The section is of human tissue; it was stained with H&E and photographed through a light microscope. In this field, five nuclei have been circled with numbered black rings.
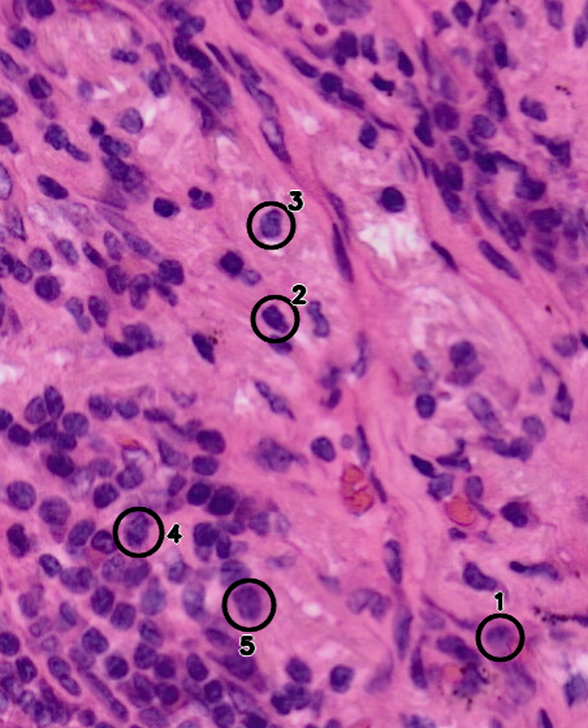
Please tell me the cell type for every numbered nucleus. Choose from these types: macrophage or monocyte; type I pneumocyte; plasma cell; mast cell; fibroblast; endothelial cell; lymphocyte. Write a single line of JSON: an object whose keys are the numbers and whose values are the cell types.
{"1": "plasma cell", "2": "lymphocyte", "3": "lymphocyte", "4": "lymphocyte", "5": "plasma cell"}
